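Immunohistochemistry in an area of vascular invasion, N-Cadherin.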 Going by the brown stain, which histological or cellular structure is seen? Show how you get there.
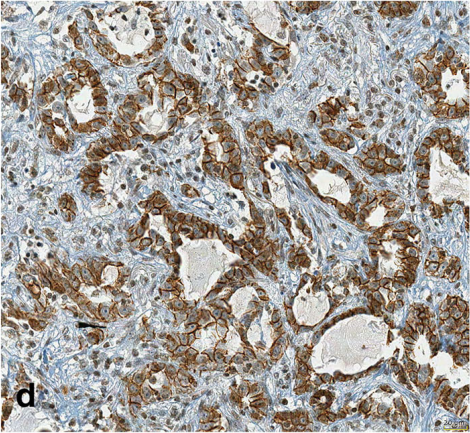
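Brown-stained cells are arranged in rings around open lumina. Staining outlines the cell membranes.
Answer: acini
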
